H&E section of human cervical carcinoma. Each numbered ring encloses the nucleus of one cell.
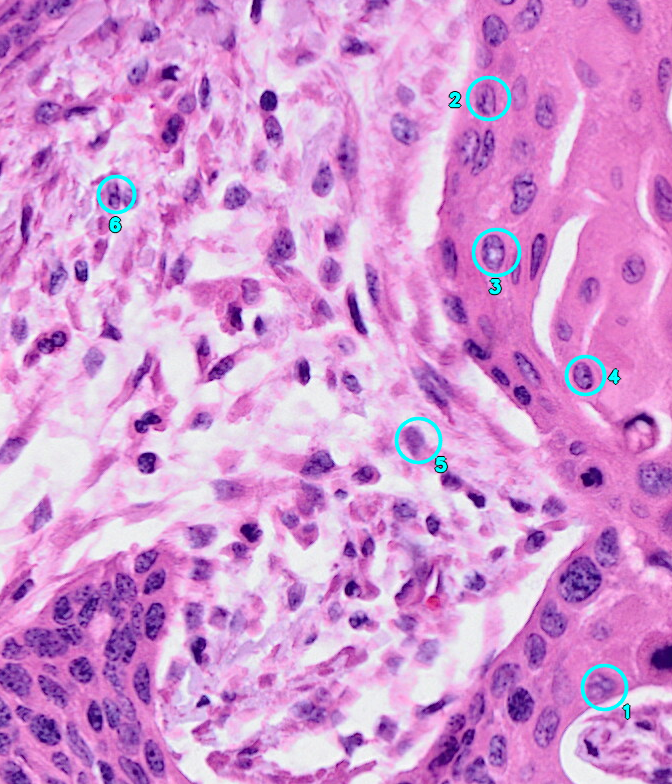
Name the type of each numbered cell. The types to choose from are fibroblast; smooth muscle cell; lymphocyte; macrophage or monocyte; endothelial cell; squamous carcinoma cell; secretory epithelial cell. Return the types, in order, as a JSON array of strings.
["squamous carcinoma cell", "squamous carcinoma cell", "squamous carcinoma cell", "squamous carcinoma cell", "fibroblast", "fibroblast"]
